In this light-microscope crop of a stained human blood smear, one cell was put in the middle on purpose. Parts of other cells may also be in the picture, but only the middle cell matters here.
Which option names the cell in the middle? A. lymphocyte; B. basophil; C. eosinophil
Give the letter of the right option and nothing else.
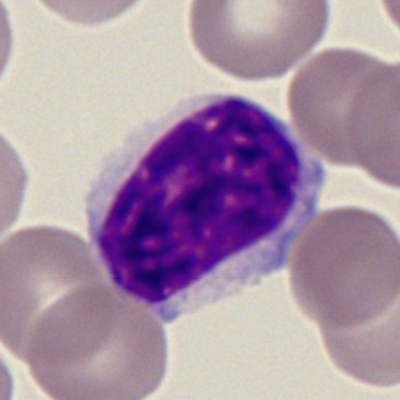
A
